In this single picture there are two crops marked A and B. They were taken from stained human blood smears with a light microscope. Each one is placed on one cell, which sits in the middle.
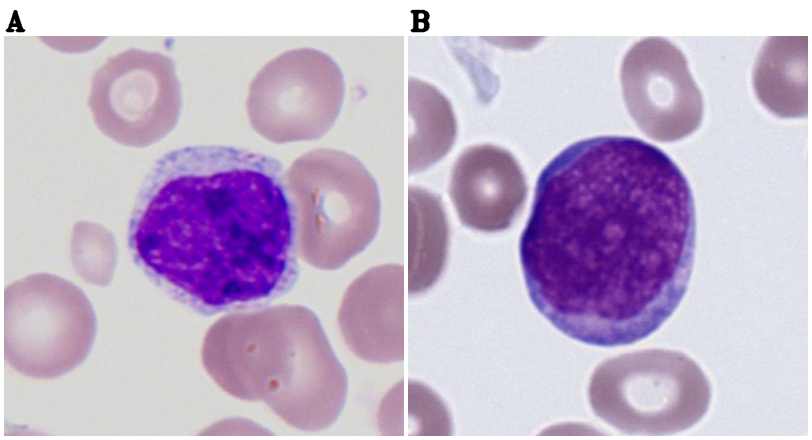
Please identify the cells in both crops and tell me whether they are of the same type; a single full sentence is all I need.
No, look again: crop A shows a lymphocyte, and crop B shows a blast.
